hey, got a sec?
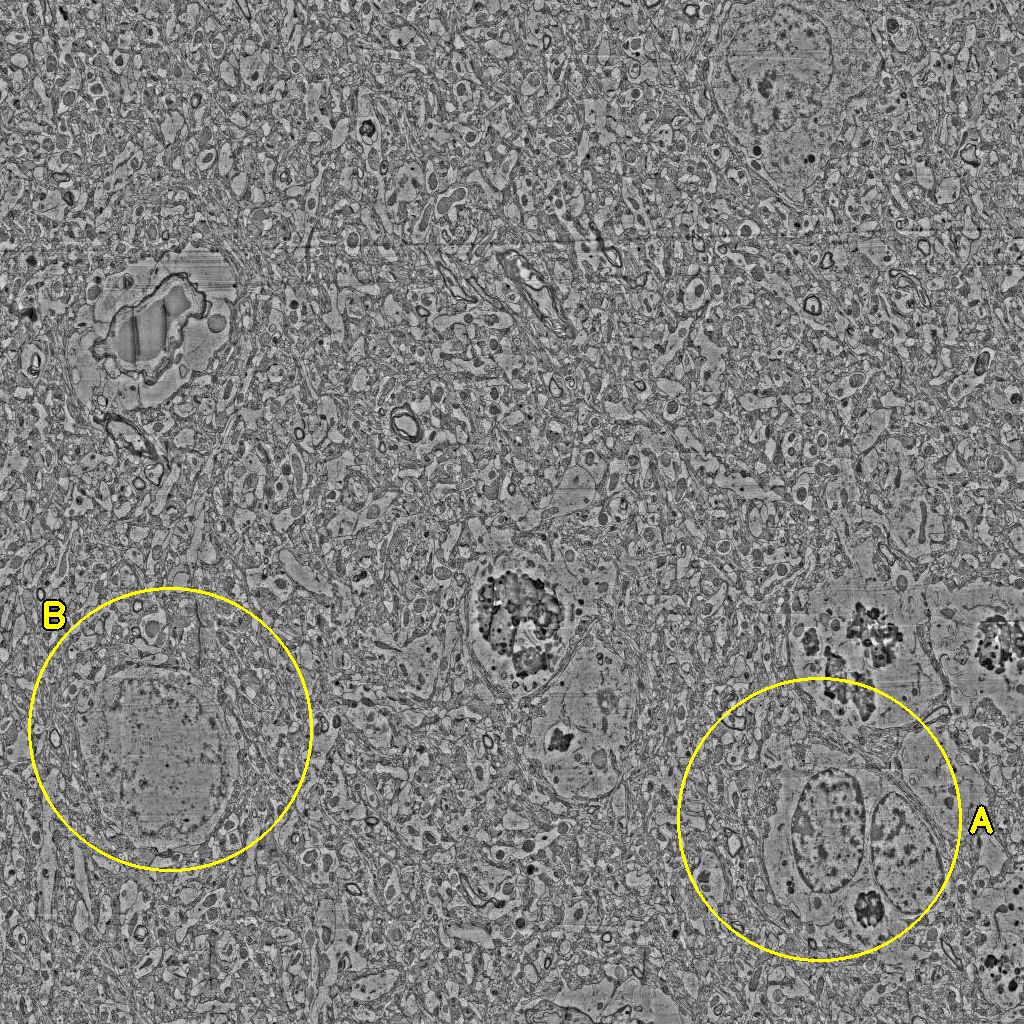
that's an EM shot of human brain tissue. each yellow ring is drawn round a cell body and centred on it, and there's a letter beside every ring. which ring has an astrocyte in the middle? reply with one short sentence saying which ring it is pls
Ring A is the one centred on it.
